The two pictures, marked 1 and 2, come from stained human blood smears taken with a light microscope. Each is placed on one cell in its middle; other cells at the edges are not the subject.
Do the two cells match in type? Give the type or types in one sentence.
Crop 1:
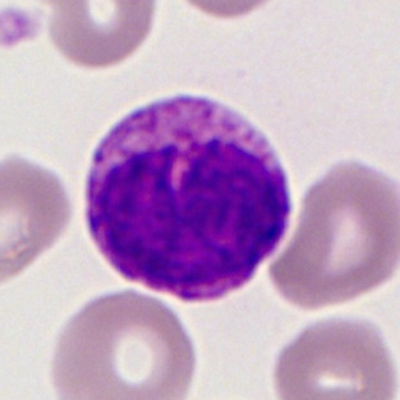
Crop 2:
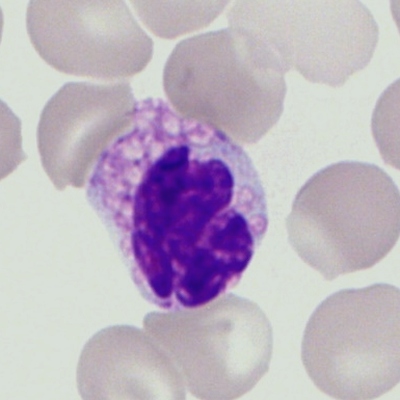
Yes, both crops have basophils at the centre.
